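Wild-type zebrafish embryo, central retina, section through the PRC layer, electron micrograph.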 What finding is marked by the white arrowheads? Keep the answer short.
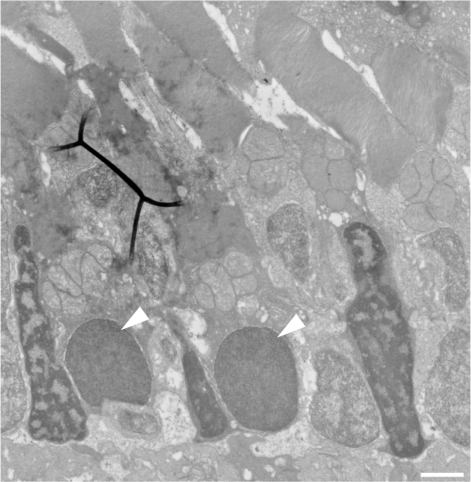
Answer: Alteration in chromatin.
